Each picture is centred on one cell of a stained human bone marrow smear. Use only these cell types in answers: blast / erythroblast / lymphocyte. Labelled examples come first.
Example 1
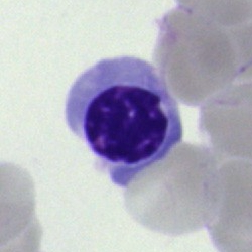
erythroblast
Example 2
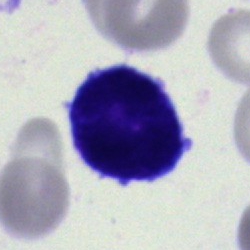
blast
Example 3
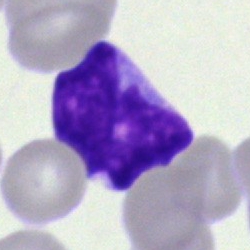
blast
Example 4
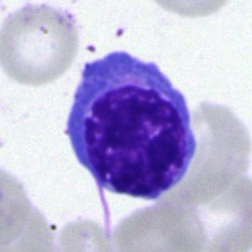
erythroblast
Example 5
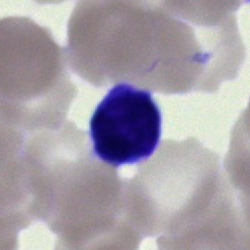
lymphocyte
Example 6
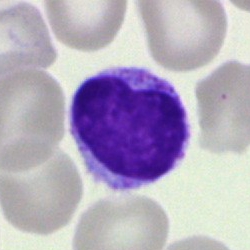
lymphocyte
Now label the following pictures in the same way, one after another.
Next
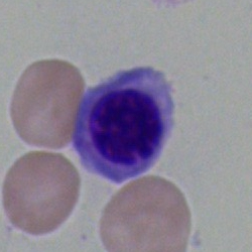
erythroblast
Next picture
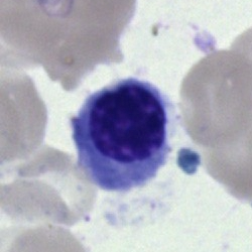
erythroblast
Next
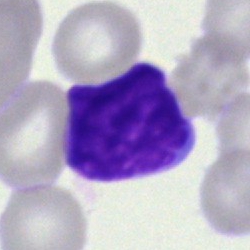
blast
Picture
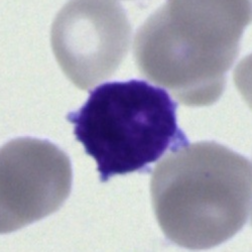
blast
